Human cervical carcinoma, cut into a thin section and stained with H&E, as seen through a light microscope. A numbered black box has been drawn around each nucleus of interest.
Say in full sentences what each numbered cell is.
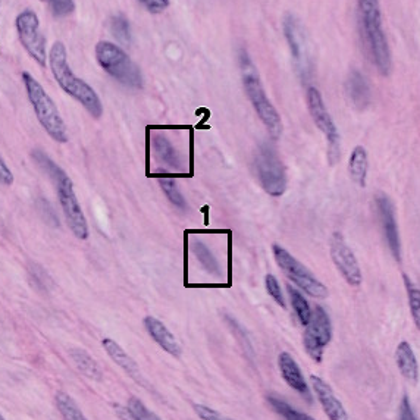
Cell 1 is a fibroblast. Cell 2 is a smooth muscle cell.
